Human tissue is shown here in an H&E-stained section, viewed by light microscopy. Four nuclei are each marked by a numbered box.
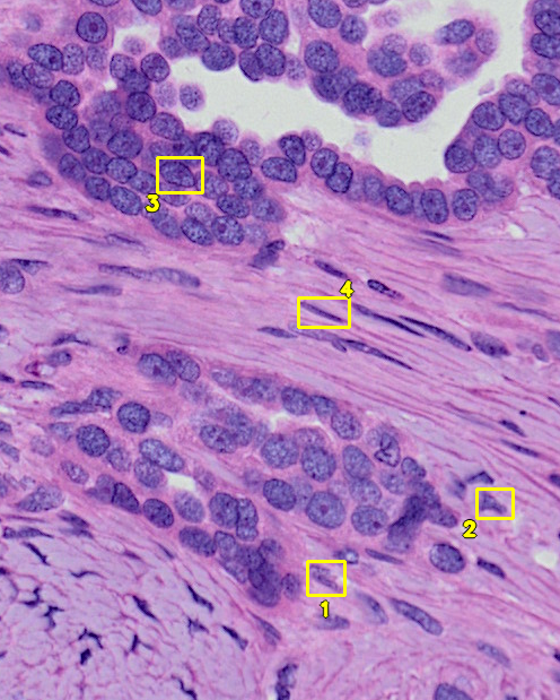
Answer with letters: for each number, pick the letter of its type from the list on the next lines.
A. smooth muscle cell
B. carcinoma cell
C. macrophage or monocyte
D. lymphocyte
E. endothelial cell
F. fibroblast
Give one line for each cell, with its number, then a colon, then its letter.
1: F
2: F
3: B
4: F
